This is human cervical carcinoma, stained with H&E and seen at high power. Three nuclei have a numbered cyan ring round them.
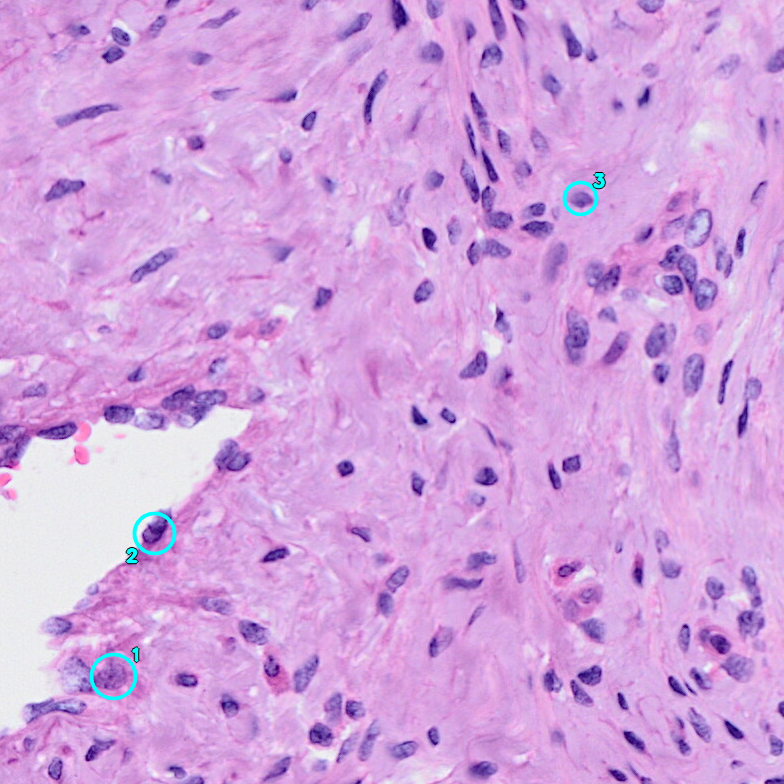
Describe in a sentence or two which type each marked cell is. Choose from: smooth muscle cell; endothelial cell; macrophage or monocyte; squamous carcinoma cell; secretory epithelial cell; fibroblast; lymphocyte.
Cell 1 is an endothelial cell, cell 2 is an endothelial cell and cell 3 is a fibroblast.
